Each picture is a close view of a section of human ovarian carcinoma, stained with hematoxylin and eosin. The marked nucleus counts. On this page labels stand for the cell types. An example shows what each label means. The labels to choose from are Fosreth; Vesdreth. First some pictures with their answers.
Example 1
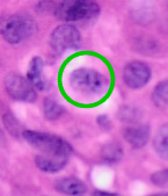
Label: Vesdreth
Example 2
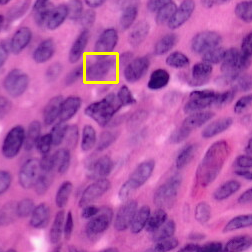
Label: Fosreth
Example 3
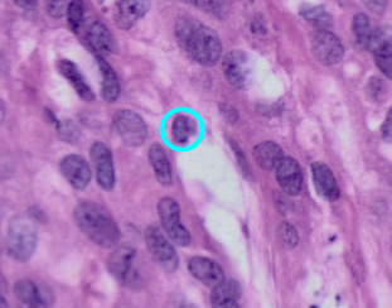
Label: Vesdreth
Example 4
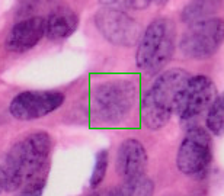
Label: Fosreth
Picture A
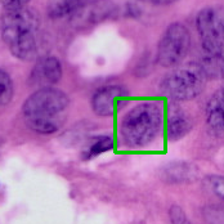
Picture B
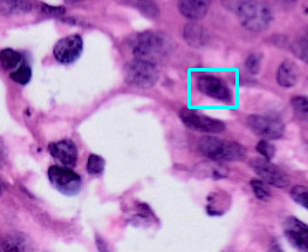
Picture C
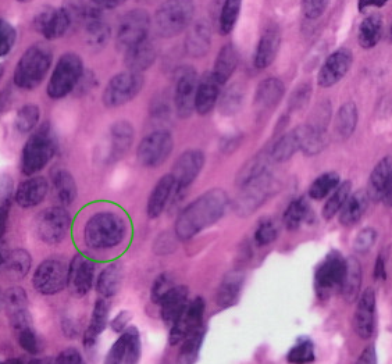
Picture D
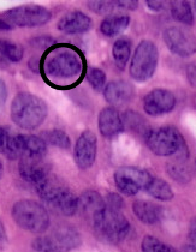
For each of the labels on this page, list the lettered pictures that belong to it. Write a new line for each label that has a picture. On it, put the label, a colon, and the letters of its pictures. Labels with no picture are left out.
Fosreth: A, B, C, D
